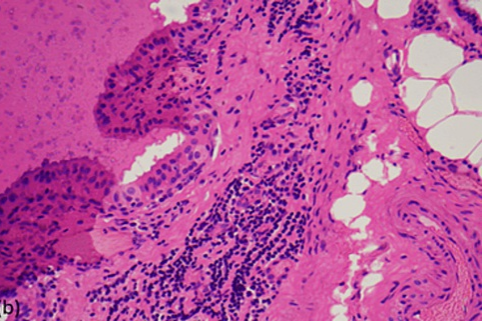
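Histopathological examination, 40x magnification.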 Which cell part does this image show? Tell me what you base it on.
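Abundant granular eosinophilic cytoplasm. Lining cells have plentiful pink cytoplasm.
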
